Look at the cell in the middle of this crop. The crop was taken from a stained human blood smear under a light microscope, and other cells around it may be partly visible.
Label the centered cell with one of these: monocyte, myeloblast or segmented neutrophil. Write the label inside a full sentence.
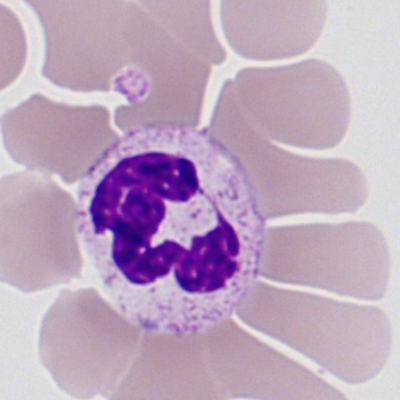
Present in the middle of the crop is a segmented neutrophil.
